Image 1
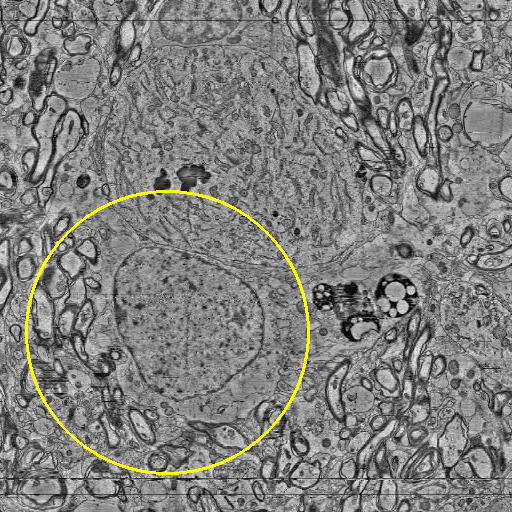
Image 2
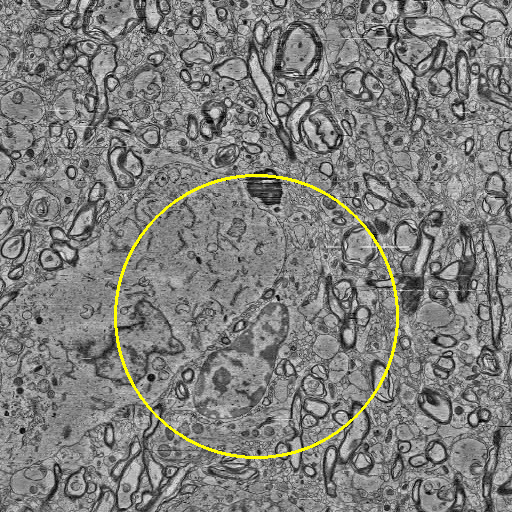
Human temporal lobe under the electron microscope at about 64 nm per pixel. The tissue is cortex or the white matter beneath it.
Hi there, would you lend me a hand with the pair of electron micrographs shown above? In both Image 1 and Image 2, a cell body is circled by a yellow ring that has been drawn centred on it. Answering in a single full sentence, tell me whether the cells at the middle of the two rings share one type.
No, the ringed cells in Image 1 and Image 2 belong to two types.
